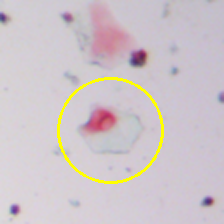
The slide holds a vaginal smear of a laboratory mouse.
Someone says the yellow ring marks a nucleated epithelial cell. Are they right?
They are right: it is a nucleated epithelial cell.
